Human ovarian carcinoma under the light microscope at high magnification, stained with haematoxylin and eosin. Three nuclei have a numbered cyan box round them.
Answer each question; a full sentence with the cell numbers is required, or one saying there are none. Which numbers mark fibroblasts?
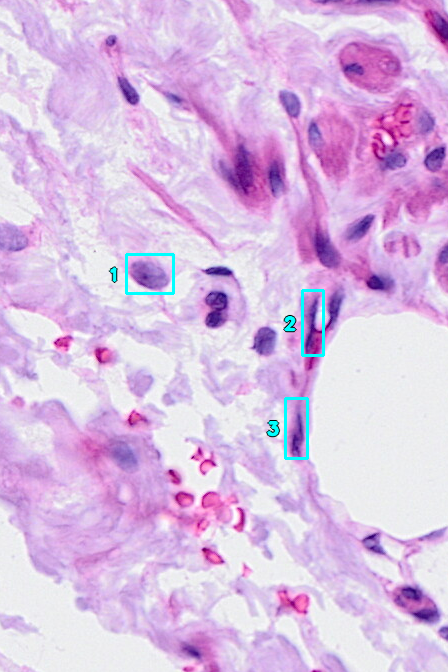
Only nucleus 1 belongs to a fibroblast; the other numbered nuclei do not.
